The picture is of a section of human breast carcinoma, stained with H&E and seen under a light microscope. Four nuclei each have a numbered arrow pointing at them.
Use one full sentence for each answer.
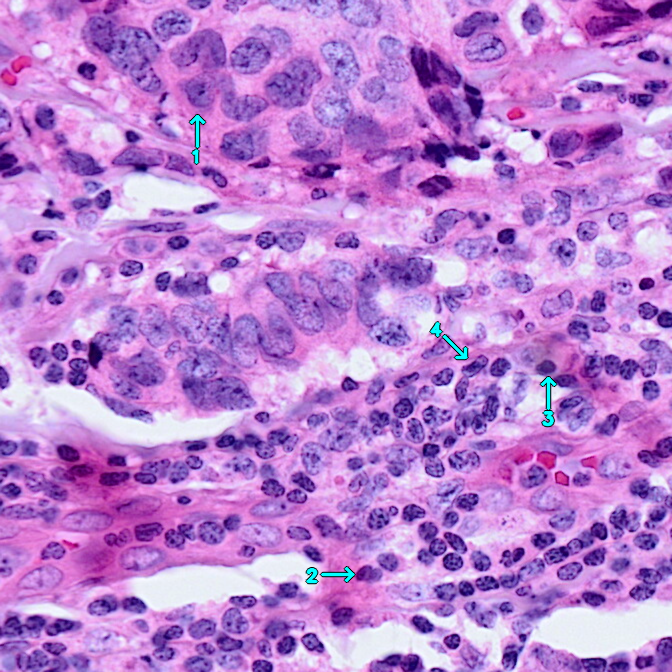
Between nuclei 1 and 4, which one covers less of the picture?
With nucleus 1 about 2 times its size, nucleus 4 is the smaller of the two.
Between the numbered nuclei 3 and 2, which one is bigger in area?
The larger nucleus is 2, at roughly 1.5 times the area of 3.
